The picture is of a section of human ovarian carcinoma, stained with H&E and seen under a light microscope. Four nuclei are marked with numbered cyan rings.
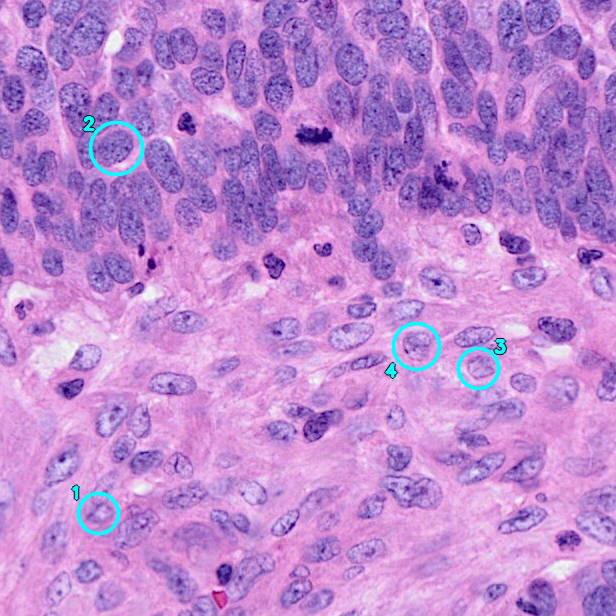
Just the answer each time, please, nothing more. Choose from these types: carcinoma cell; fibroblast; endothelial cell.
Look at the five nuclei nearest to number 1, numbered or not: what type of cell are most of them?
endothelial cell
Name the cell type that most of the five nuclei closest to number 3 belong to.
fibroblast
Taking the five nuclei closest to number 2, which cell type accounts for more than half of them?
carcinoma cell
